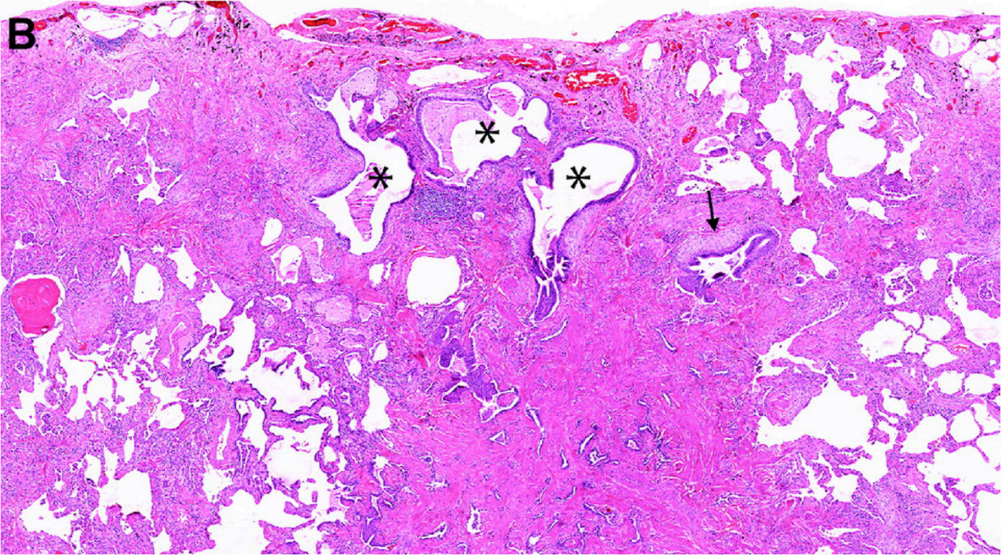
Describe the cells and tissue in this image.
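This low-power view shows lung beneath the pleural surface, with fibrosis replacing much of the normal alveolar tissue. Dense pink fibrous tissue fills broad areas, while small, irregular airspaces lie scattered through it and at its edges. The fibrosis looks variegated, with patches of purple cellular infiltrate among the pink collagen. Near the top, several enlarged cystic spaces are lined by a continuous darker purple epithelium, and some contain pale pink material. Beside them lies a small, discrete, paler focus with a thin purple lining on one side.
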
